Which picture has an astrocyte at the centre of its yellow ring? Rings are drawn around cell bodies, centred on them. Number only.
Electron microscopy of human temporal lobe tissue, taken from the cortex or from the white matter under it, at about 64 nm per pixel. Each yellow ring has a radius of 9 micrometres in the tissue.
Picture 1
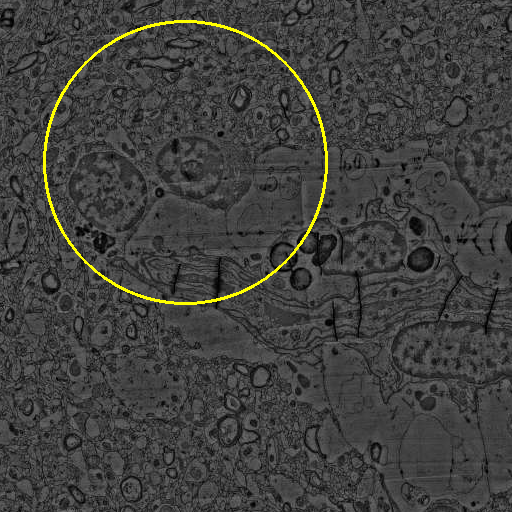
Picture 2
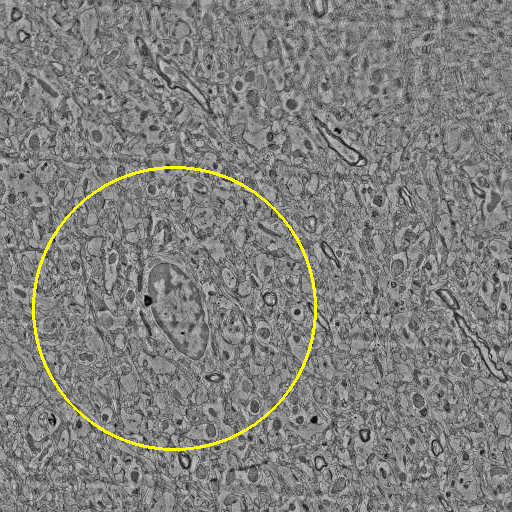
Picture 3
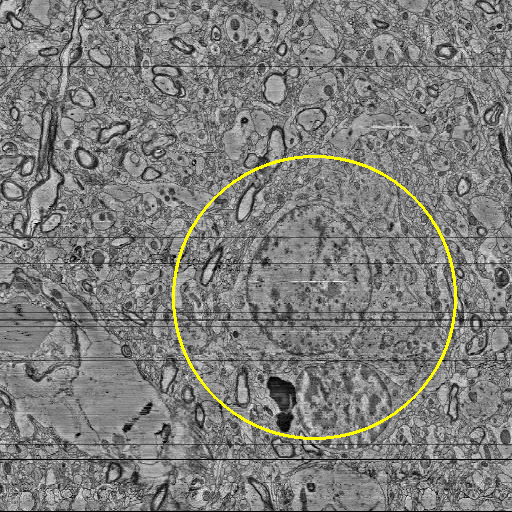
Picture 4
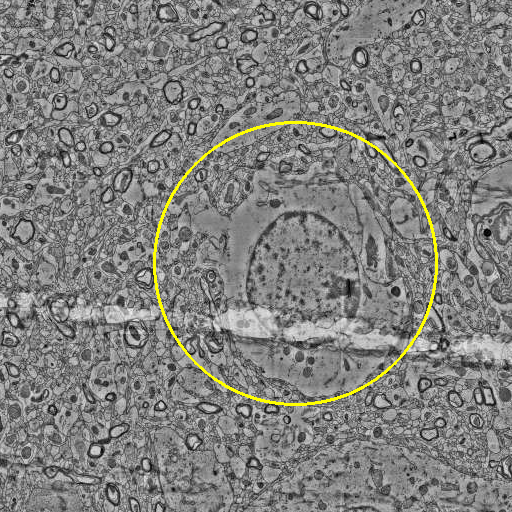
4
